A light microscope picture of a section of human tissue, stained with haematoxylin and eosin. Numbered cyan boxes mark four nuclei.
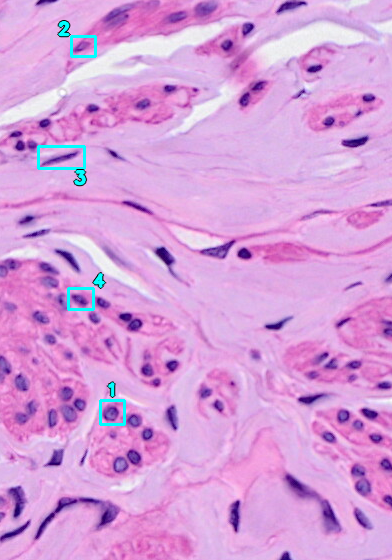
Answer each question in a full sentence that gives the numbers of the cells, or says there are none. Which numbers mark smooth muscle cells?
The cells 1, 2 and 4 in this section are smooth muscle cells.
